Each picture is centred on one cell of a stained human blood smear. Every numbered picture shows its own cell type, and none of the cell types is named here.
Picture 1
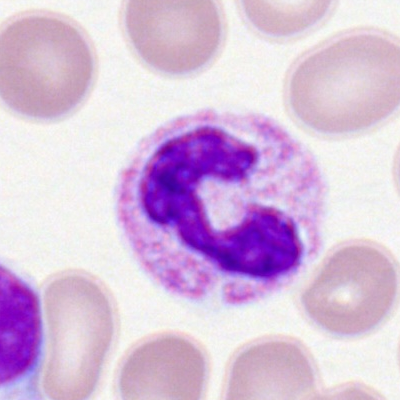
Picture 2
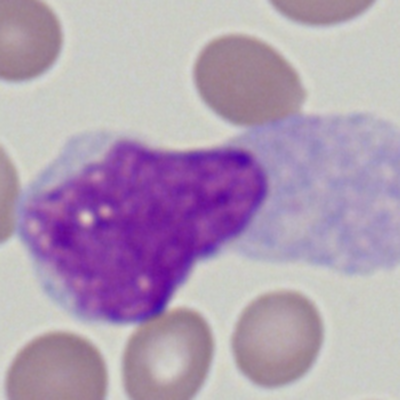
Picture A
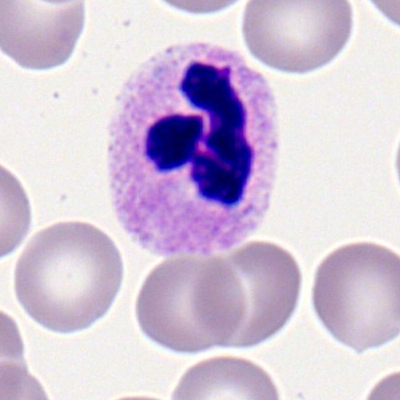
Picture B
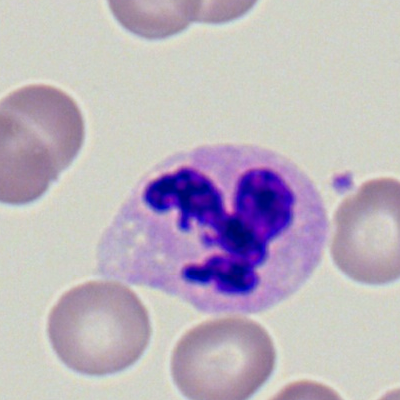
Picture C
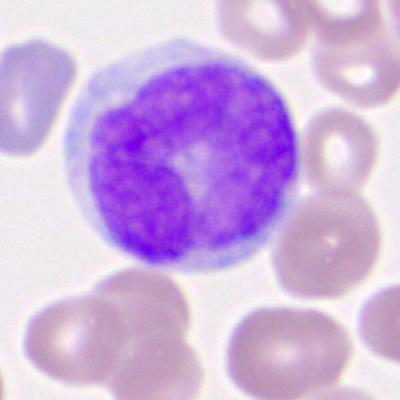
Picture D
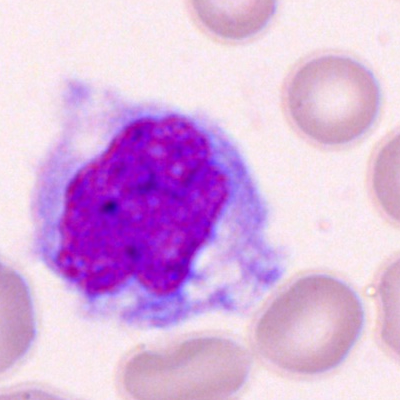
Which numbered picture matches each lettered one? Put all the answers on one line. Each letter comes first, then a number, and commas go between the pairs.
A 1, B 1, C 2, D 2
